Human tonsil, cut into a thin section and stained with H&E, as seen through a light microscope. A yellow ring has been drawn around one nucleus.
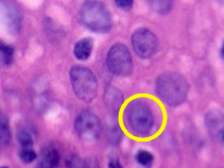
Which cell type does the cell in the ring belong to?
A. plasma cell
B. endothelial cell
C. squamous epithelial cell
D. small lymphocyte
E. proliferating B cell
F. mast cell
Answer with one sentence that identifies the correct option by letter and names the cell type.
Option C wins here: the cell in the ring is a squamous epithelial cell.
